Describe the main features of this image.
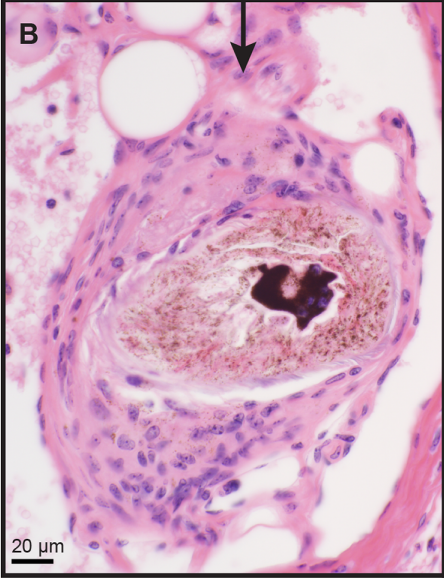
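This cross-section shows a dystrophic hair follicle whose centre contains no normal hair shaft. Instead, the centre holds an oval mass of fine brown granular pigment, and a dense black irregular clump lies within it. The mass is encircled by a thin pale zone and a few layers of flattened cells with elongated purple nuclei. Spindle-shaped stromal cells and clear round fat vacuoles lie in the surrounding pink connective tissue.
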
